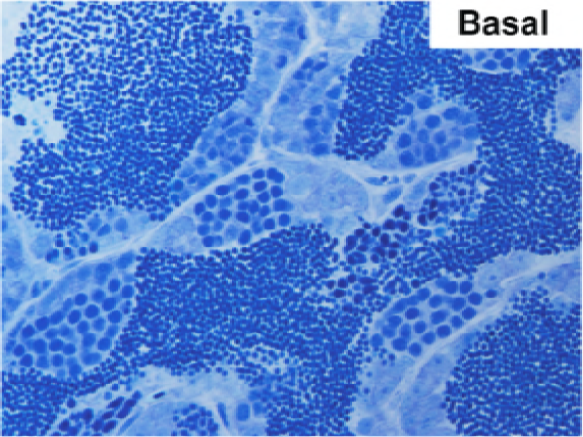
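This is testis tissue stained in shades of blue, with germ cells grouped in tight clusters separated by thin, pale strands of interstitial tissue. The largest areas are packed with very small, dense, dark-blue dots, the condensed heads of spermatozoa crowding the lumens. Elsewhere, rounded groups of larger cells with round nuclei and a paler rim of cytoplasm form cysts, consistent with spermatocytes. Other cysts hold smaller, uniform, darker round nuclei, consistent with spermatids. Within each cyst the cells look alike, as if at one stage together.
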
